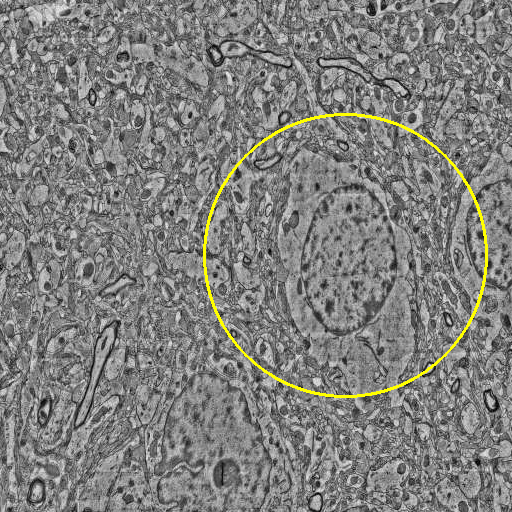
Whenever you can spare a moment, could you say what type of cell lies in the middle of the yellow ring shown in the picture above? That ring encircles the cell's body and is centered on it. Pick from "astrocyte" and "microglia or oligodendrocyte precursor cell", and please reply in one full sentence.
The cell whose body sits at the middle of the yellow ring is an astrocyte.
